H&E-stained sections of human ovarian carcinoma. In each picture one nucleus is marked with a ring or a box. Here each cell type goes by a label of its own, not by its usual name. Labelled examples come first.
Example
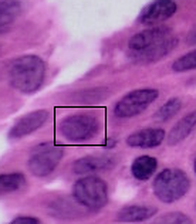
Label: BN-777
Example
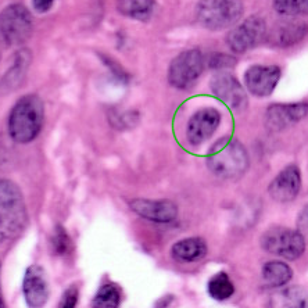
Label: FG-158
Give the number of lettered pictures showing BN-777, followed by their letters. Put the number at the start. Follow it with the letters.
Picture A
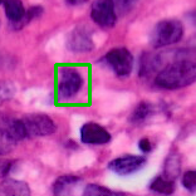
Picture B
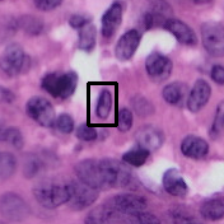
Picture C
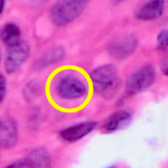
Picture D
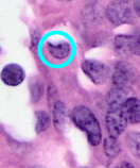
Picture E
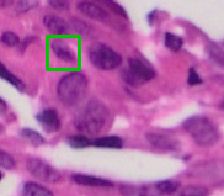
0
